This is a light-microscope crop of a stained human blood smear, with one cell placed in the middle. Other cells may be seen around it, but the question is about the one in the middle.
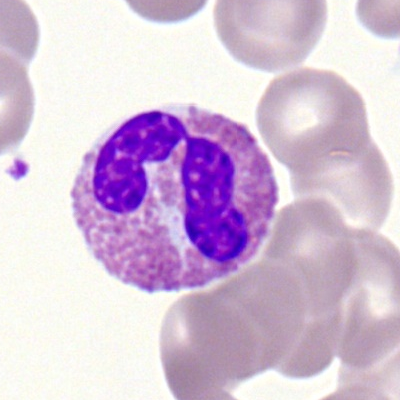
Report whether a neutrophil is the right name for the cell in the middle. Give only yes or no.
no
